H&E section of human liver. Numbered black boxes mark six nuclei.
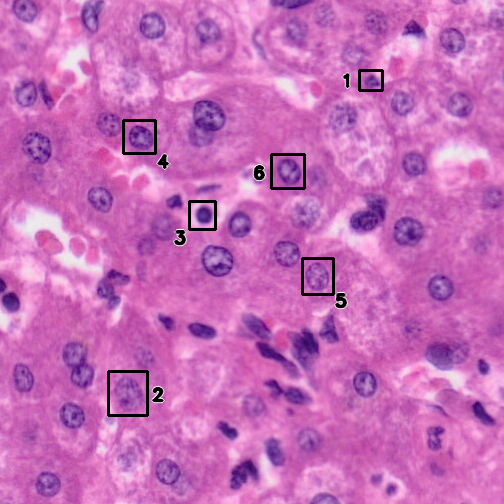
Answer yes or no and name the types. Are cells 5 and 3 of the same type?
No; whereas cell 5 is a hepatocyte, cell 3 is a lymphocyte.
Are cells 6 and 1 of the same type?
No, in contrast to cell 6, which is a hepatocyte, cell 1 is a fibroblast or stellate cell.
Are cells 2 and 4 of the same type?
Yes, within the numbered set, cells 2 and 4 are both hepatocytes.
